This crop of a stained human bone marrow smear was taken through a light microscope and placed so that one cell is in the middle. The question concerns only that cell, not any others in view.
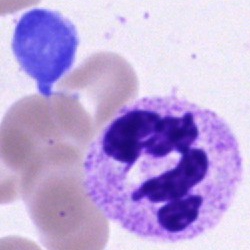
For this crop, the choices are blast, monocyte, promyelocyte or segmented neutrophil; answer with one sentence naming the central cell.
In this crop, the cell at the very middle is a segmented neutrophil.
